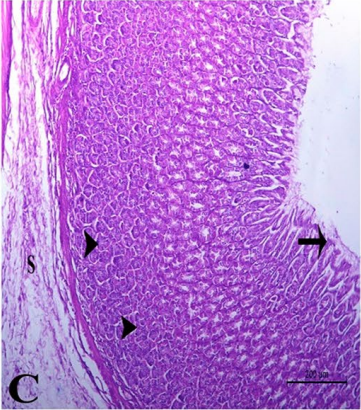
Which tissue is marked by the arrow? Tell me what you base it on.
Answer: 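The arrow points at the luminal edge of the glandular mucosa.
Answer: surface epithelium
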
